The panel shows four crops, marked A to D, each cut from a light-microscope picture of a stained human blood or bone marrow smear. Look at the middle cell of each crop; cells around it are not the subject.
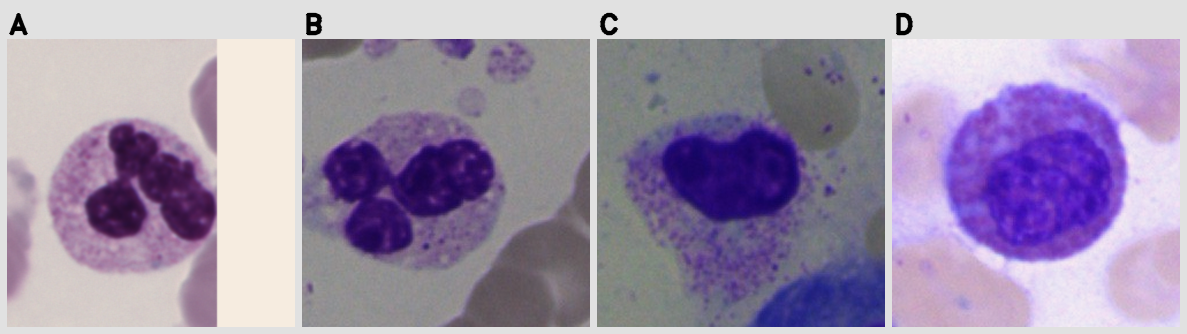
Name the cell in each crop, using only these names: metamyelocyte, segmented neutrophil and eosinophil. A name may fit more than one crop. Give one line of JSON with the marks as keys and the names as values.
{"A": "segmented neutrophil", "B": "segmented neutrophil", "C": "metamyelocyte", "D": "eosinophil"}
